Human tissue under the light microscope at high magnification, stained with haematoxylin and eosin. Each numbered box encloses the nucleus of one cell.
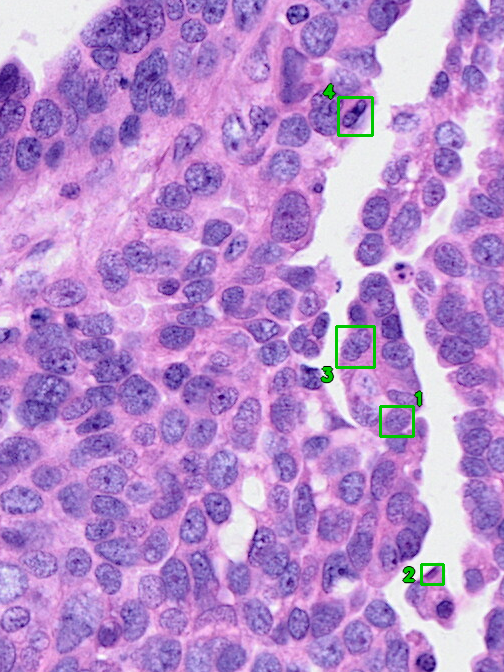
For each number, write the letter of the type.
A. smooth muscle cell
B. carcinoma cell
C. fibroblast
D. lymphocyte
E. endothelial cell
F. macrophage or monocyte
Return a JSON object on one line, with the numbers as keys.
{"1": "B", "2": "B", "3": "B", "4": "F"}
